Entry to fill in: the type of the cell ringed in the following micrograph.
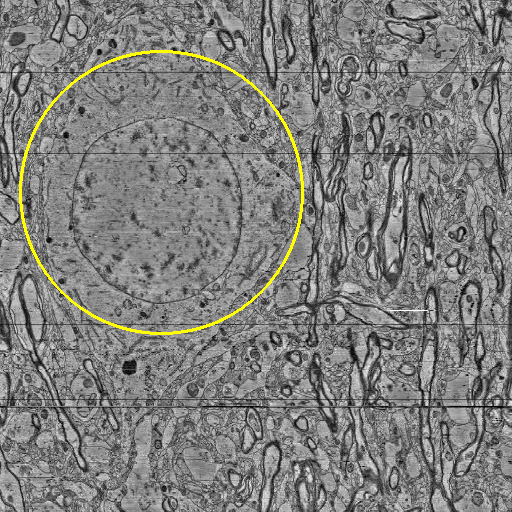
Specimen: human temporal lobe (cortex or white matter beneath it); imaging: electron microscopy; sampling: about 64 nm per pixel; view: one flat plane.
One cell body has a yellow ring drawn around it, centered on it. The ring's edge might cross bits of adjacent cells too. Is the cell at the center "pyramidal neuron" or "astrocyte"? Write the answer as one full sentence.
This entry names a pyramidal neuron as the cell whose body lies at the ring's center.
